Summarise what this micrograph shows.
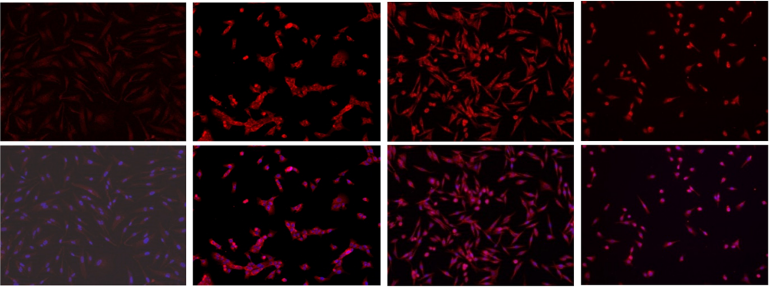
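Cultured cells in four fields side by side, each shown in red alone and as a red and blue overlay. In the first field the cells are elongated, slender and spindle-shaped, spread evenly and faintly red, with small oval blue nuclei. The second field shows bright red, irregular cells gathered in clumps with clear spaces between them. The fourth field holds smaller, rounded to short cells scattered singly, each with a blue nucleus filling much of the cell.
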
